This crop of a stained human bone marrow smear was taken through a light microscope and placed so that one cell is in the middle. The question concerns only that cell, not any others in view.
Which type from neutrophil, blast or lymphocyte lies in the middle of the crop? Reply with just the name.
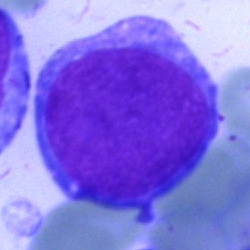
blast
